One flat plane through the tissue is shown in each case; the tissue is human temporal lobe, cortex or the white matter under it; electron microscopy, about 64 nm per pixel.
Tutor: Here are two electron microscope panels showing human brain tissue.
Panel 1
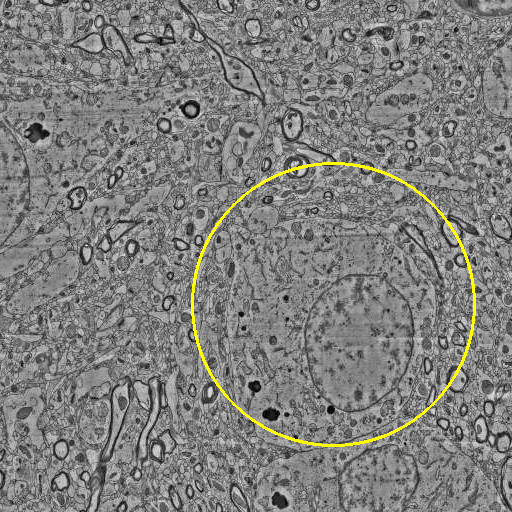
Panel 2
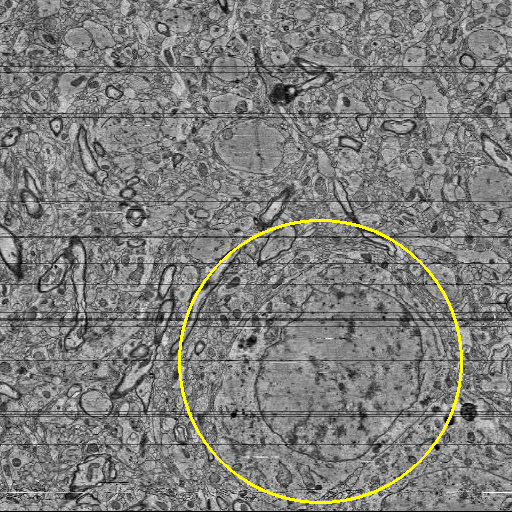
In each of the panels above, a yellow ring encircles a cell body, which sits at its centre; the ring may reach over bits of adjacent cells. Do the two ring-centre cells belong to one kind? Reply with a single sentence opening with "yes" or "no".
Yes, the two cells sitting at the ring centres in the panels belong to one kind.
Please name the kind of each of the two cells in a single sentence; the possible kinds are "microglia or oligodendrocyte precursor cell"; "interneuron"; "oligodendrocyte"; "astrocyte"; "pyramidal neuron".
Both pictures show a pyramidal neuron at the centre of the ring.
